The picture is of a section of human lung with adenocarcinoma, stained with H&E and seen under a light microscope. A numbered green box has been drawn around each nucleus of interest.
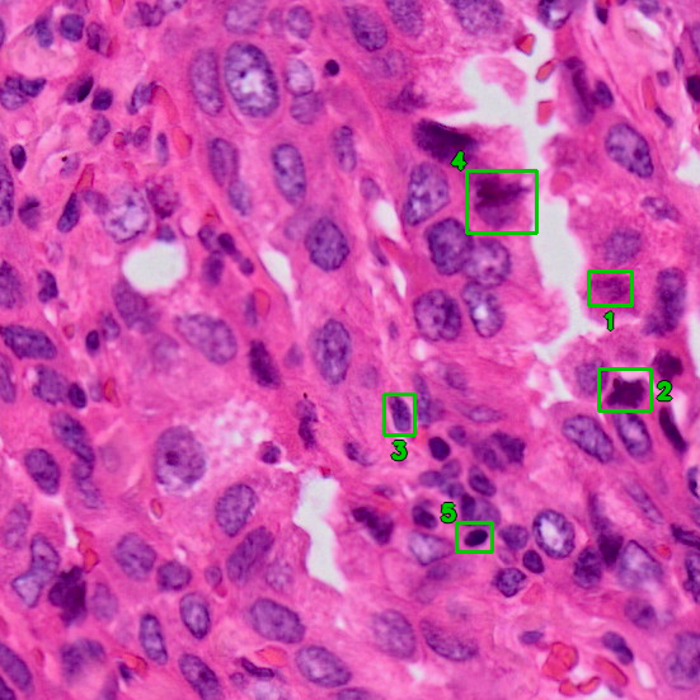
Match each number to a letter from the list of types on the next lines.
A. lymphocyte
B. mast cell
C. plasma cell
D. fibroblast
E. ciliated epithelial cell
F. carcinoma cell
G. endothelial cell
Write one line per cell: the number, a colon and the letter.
1: F
2: F
3: A
4: F
5: A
